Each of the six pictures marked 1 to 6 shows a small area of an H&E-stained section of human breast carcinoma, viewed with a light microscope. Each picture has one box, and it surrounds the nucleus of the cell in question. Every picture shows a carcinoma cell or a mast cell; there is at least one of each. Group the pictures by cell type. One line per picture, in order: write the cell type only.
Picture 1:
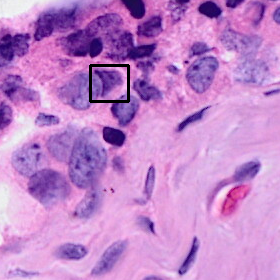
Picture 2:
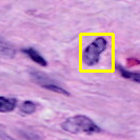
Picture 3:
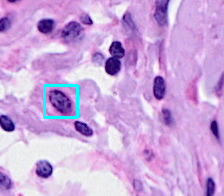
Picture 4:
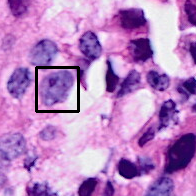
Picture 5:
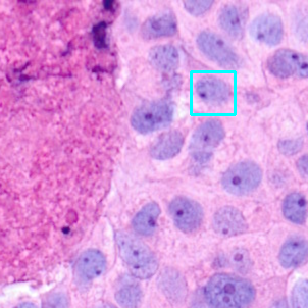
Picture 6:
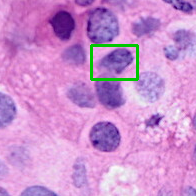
carcinoma cell
mast cell
mast cell
carcinoma cell
carcinoma cell
carcinoma cell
